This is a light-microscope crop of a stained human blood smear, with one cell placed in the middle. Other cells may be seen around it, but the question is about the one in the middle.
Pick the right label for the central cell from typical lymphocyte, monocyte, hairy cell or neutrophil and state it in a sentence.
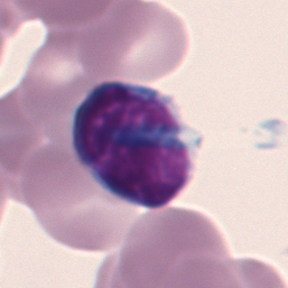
The cell in the middle of the field of view is a typical lymphocyte.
